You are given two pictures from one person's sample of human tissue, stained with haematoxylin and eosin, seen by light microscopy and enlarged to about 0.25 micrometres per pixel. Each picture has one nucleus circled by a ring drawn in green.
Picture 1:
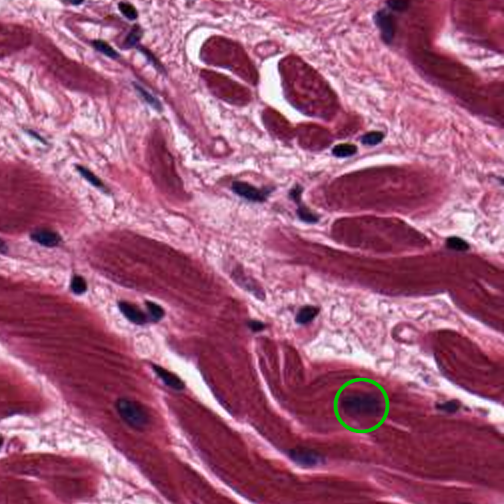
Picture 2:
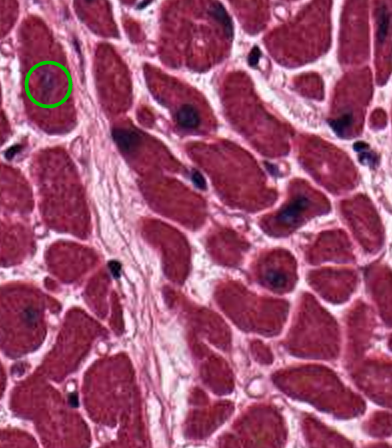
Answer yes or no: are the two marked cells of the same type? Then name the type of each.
Yes, both are cardiomyocytes.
